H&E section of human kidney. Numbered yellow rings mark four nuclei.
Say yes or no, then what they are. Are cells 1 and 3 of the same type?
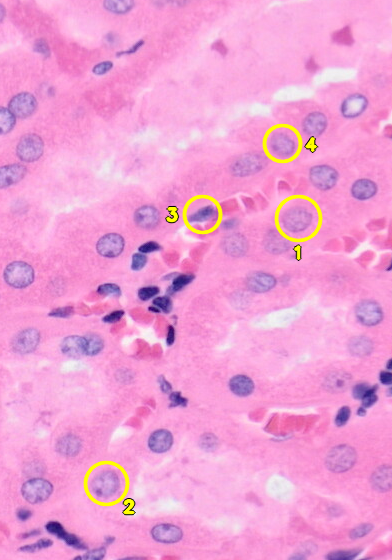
No, cell 1 is a proximal tubule cell; cell 3, by contrast, is an endothelial cell.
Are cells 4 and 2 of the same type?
Yes, for cells 4 and 2 alike, the identity is that of proximal tubule cells.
